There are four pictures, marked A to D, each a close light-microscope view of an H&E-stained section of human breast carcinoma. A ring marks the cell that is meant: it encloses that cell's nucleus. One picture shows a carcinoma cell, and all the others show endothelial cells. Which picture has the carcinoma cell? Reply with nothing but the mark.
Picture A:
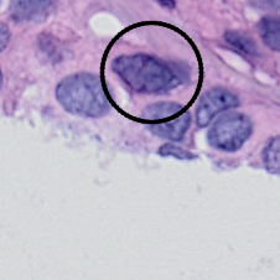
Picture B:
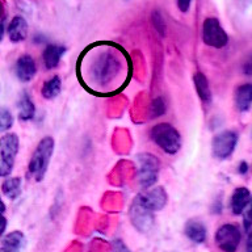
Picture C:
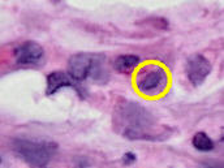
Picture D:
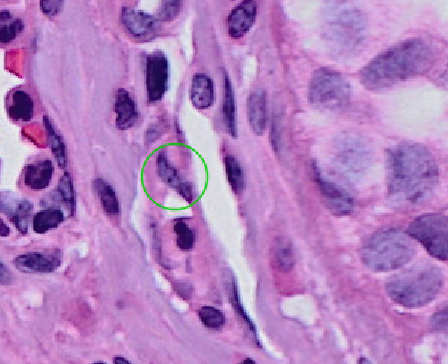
A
